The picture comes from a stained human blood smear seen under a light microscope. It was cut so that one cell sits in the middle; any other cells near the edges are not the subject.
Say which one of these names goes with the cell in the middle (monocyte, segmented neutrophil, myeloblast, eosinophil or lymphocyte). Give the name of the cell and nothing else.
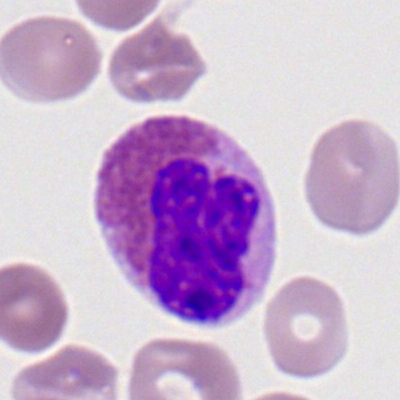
eosinophil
